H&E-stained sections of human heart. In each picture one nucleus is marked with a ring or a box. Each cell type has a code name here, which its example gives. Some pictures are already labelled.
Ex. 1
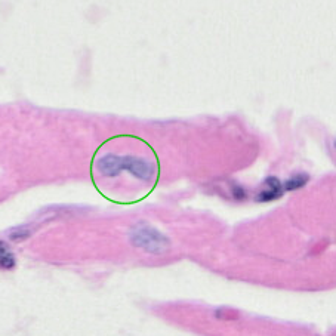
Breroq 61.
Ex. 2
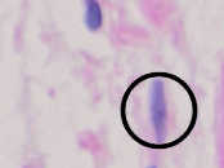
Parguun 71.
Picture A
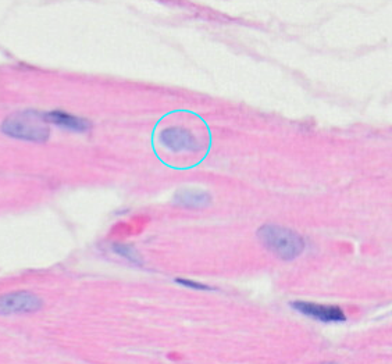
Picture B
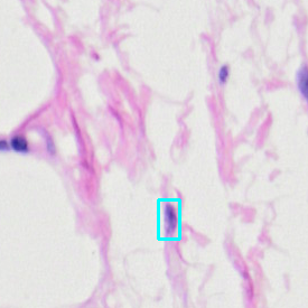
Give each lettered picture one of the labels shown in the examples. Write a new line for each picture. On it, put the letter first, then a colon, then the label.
A: Breroq 61.
B: Parguun 71.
